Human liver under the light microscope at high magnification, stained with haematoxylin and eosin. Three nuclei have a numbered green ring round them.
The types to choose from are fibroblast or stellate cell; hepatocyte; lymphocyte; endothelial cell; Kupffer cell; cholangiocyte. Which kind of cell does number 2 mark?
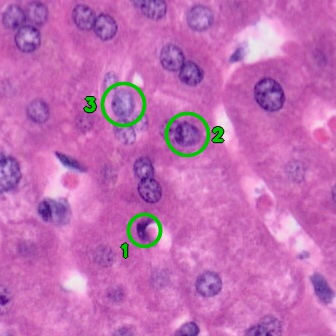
hepatocyte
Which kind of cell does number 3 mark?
cholangiocyte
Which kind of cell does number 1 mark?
fibroblast or stellate cell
